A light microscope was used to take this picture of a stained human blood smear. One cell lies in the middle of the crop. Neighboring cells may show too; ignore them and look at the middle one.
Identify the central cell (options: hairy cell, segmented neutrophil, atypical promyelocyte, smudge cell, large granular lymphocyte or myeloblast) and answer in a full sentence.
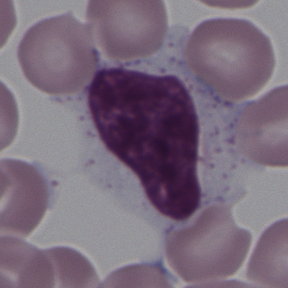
For this crop, the cell in the middle is a large granular lymphocyte.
